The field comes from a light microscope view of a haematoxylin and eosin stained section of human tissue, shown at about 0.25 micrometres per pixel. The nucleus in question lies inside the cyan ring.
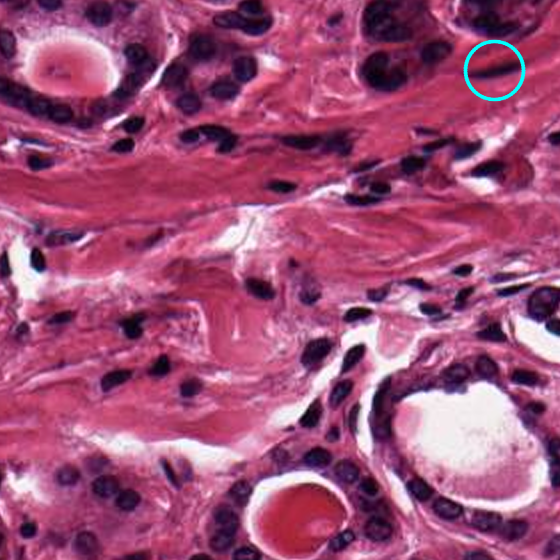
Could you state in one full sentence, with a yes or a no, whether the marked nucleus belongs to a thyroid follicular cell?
No, the marked nucleus is part of a supporting cell and does not belong to a thyroid follicular cell.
